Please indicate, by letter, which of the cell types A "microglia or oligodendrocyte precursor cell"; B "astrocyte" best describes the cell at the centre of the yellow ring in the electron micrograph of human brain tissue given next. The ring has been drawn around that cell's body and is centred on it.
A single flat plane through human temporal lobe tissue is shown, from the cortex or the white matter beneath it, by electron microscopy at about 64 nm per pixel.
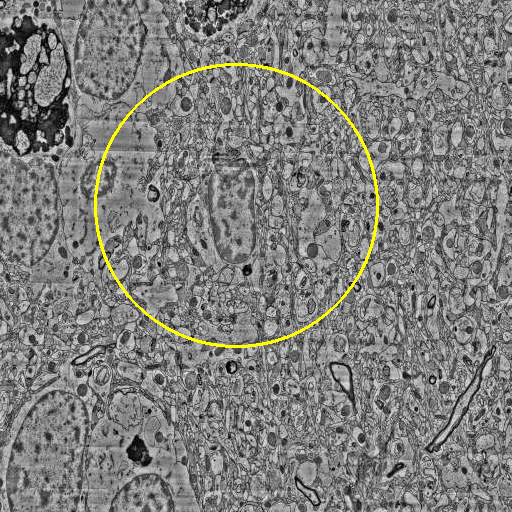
A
